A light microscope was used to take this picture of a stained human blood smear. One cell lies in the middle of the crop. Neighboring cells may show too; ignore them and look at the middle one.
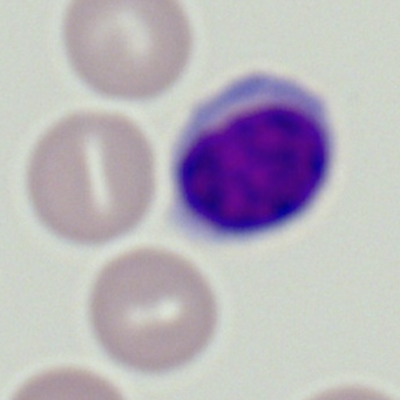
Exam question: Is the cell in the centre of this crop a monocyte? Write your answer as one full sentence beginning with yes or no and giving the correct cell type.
No, the cell sitting in the middle is a lymphocyte, and it is not a monocyte.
